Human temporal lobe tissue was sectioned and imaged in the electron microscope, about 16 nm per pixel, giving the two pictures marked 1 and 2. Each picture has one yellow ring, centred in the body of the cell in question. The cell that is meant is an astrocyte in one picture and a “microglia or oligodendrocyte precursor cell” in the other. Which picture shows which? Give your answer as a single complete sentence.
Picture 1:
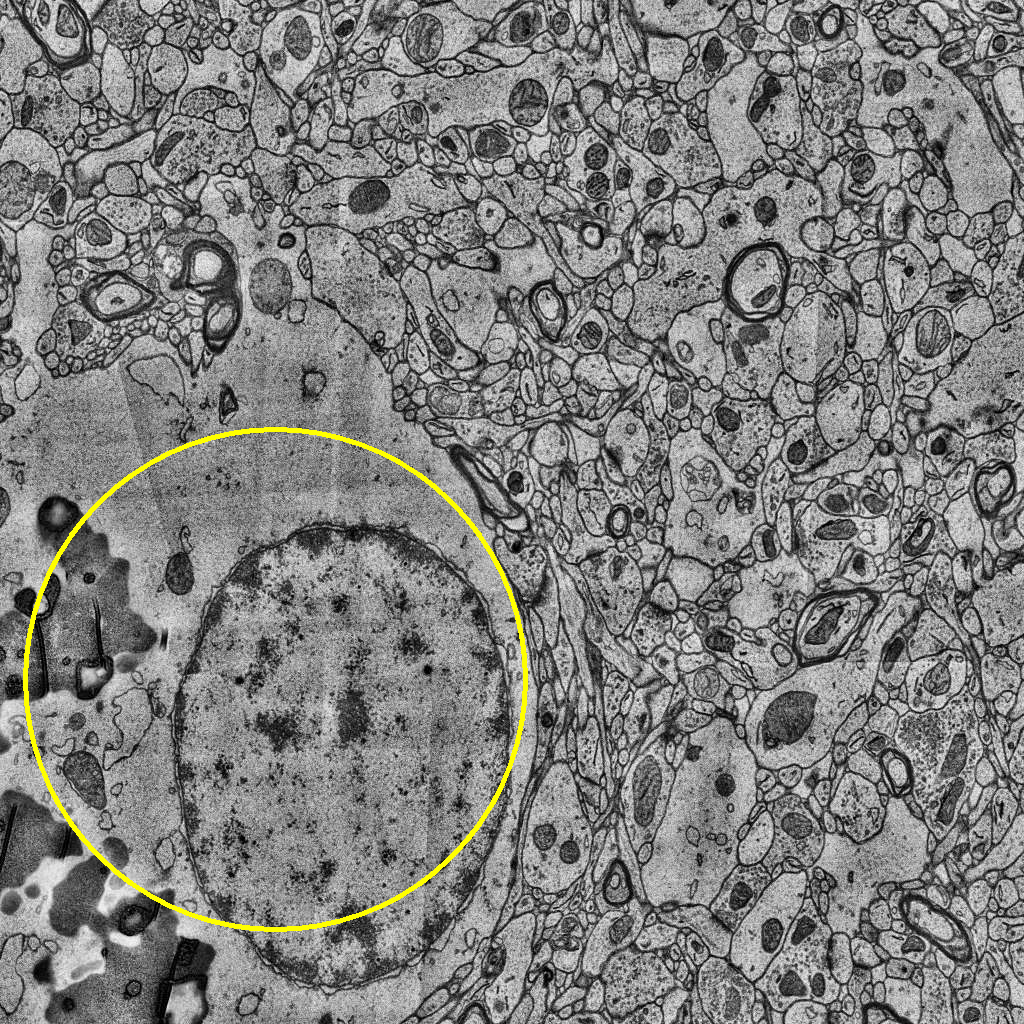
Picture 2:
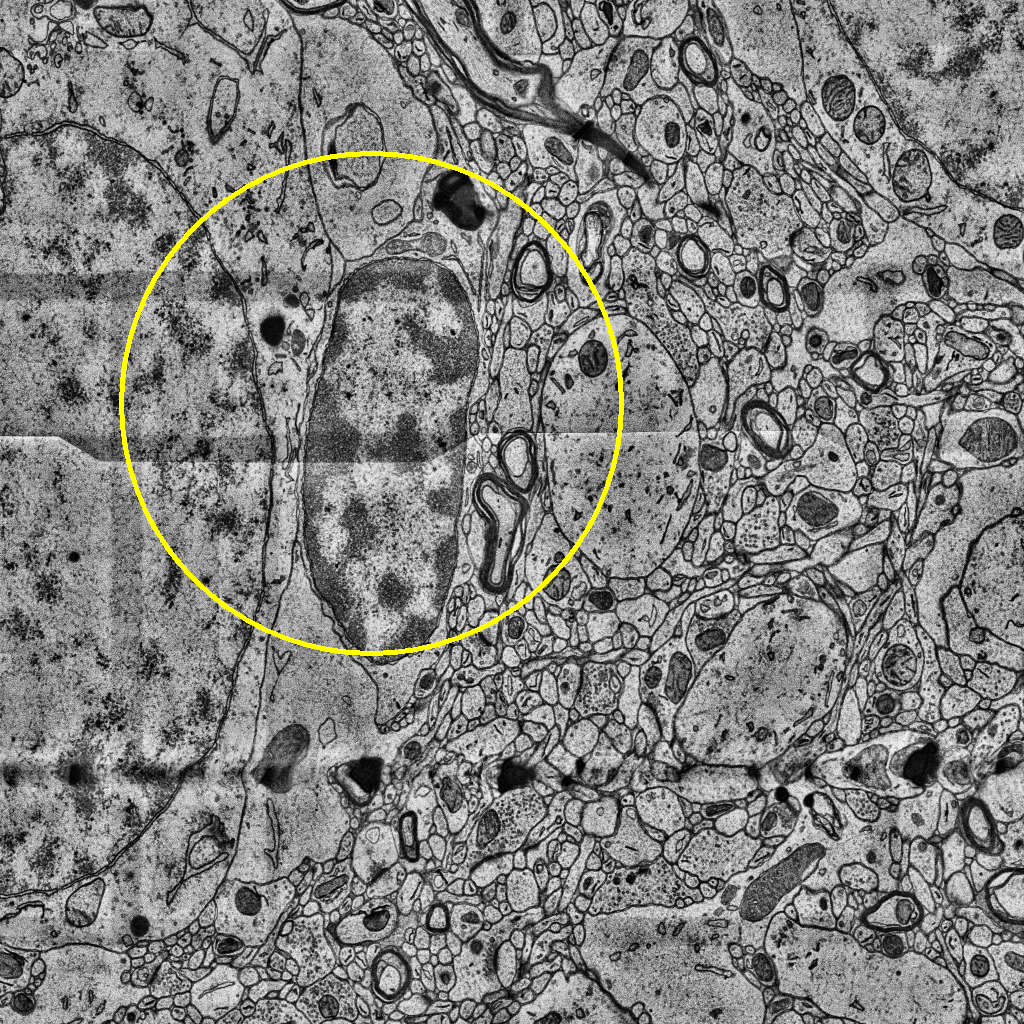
Picture 1 is of an astrocyte, and picture 2 is of a “microglia or oligodendrocyte precursor cell”.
